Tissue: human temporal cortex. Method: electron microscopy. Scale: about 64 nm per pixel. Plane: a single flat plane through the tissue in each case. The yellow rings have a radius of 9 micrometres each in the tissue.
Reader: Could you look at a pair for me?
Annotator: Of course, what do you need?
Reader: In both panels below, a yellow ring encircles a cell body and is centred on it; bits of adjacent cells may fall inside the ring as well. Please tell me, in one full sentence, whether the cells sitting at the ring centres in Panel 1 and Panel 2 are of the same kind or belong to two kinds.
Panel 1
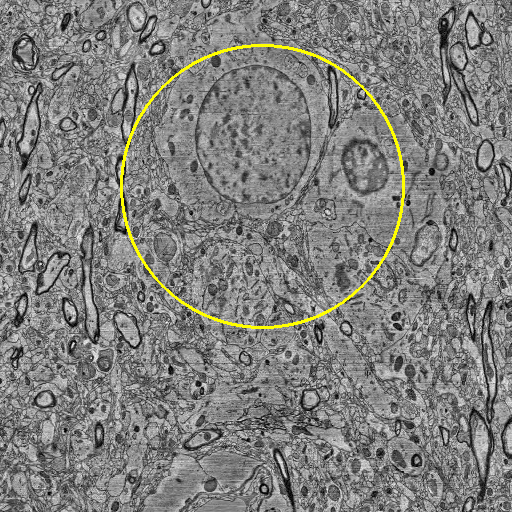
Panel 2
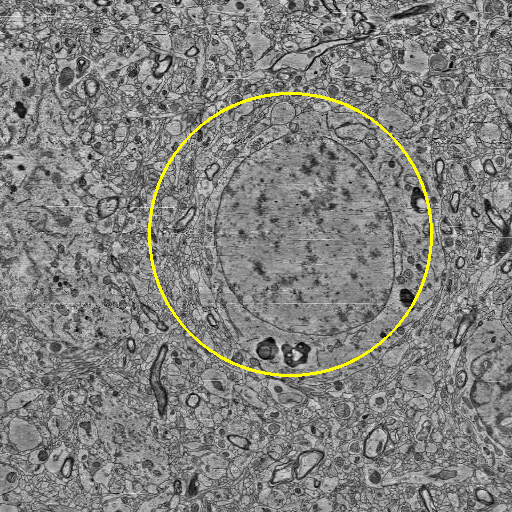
The cell at the ring's centre in Panel 1 and the one in Panel 2 belong to two kinds.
